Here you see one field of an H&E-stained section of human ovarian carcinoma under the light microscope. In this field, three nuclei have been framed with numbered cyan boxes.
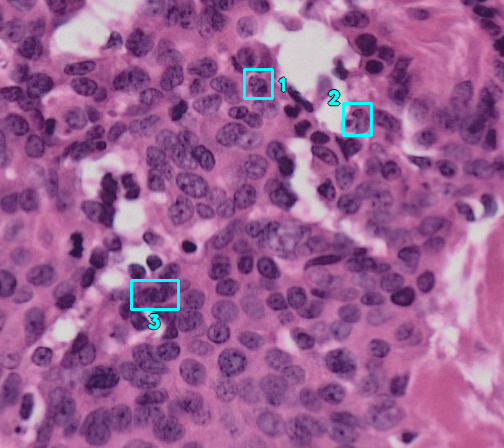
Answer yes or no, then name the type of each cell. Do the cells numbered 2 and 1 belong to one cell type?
Yes, both are macrophages or monocytes.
